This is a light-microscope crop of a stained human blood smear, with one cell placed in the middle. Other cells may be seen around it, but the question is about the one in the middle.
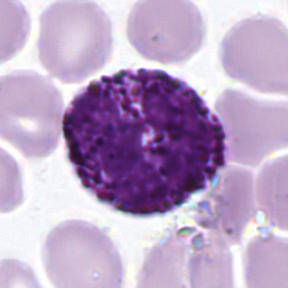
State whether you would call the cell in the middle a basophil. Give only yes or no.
yes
